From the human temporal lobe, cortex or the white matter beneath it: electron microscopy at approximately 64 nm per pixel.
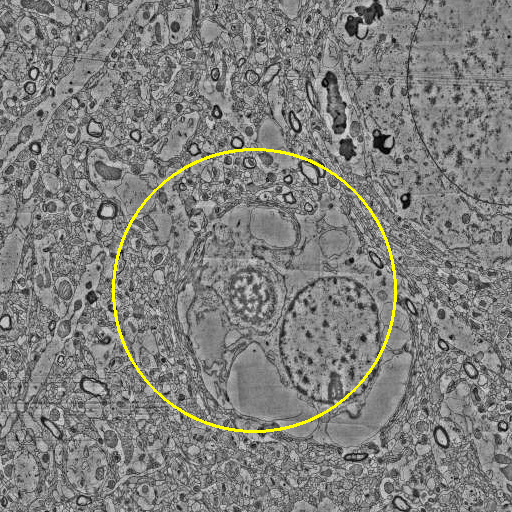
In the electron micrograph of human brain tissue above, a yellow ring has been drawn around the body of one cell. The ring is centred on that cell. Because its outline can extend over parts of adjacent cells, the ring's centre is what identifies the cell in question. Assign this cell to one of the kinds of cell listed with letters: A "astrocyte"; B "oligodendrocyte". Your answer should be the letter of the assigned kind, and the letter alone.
A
